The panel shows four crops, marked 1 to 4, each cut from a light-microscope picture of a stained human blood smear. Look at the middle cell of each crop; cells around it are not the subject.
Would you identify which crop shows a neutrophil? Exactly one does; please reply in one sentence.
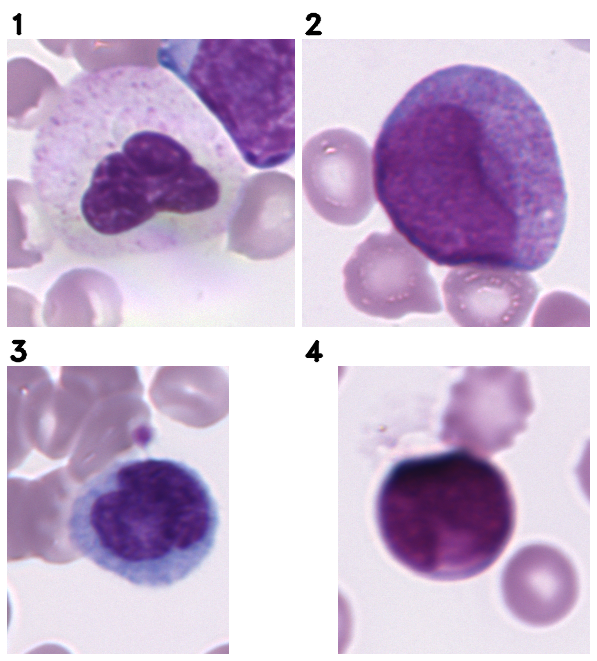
In the set of crops, crop 1 is the one that contains a neutrophil.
